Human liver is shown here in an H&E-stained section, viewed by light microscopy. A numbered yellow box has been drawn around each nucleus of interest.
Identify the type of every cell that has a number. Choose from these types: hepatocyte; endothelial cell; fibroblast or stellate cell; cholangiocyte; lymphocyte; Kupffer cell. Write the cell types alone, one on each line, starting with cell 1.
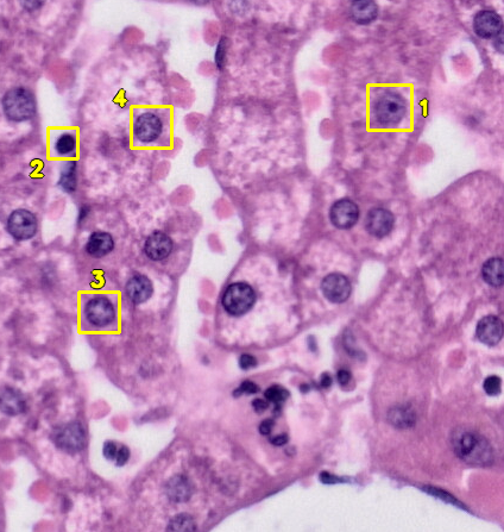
hepatocyte
lymphocyte
hepatocyte
hepatocyte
